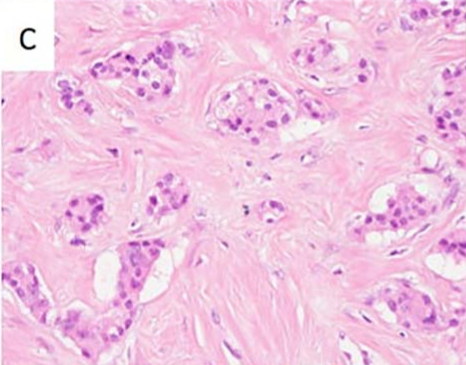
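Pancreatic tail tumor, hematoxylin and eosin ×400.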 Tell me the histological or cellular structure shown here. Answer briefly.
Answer: Nests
